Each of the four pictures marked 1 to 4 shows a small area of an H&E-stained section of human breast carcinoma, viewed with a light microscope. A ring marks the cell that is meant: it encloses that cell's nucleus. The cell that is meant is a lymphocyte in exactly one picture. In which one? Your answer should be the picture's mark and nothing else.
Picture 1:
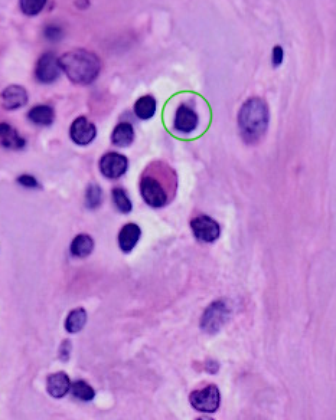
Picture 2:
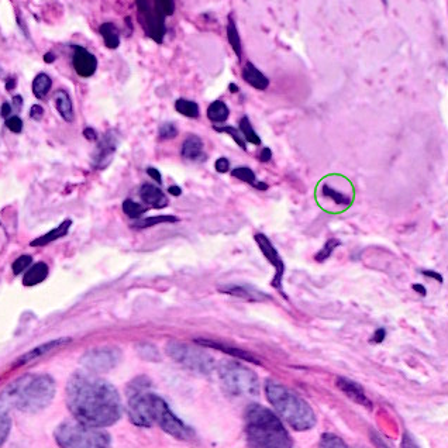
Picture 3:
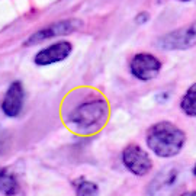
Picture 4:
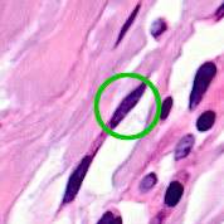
1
